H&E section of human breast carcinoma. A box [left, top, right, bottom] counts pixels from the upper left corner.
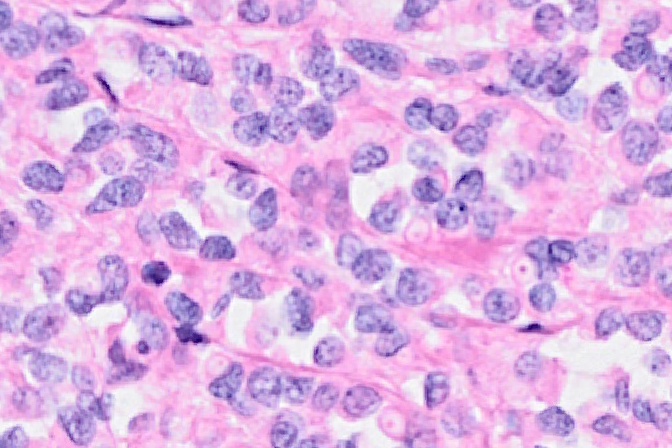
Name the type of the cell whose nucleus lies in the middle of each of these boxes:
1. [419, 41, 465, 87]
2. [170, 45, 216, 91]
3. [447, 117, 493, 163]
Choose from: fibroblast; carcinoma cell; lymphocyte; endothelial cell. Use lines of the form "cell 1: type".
cell 1: endothelial cell
cell 2: carcinoma cell
cell 3: carcinoma cell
